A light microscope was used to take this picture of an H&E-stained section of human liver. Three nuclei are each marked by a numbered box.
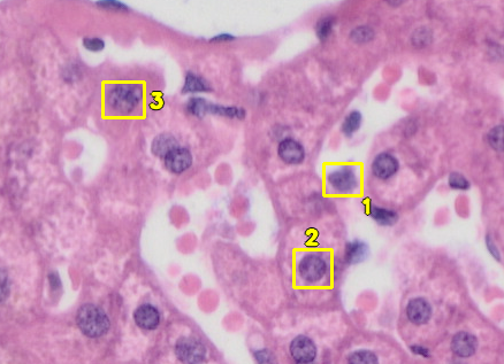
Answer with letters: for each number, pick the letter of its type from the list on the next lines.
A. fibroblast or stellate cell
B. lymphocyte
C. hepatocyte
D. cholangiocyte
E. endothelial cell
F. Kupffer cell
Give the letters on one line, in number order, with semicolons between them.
F; C; C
